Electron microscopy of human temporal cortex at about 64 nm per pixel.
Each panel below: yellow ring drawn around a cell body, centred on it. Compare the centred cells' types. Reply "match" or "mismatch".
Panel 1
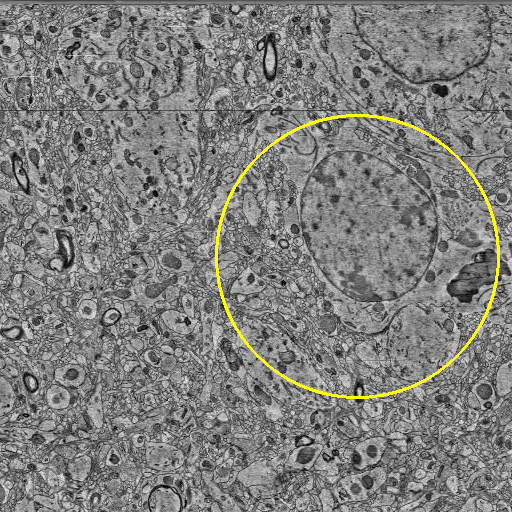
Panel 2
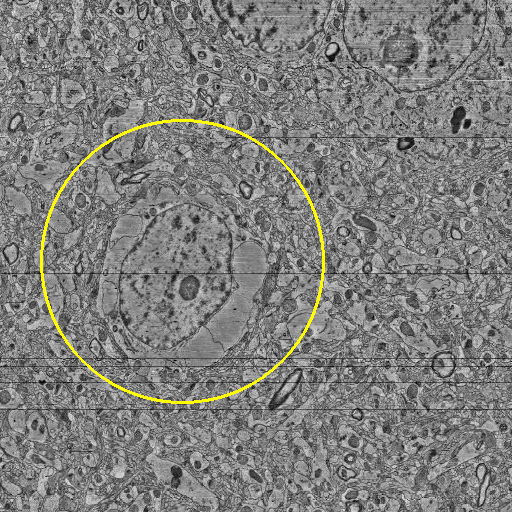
match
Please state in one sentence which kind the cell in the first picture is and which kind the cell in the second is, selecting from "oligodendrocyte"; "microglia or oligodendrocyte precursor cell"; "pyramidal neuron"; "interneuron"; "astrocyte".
Each of the ringed cells, first and second, is an astrocyte.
